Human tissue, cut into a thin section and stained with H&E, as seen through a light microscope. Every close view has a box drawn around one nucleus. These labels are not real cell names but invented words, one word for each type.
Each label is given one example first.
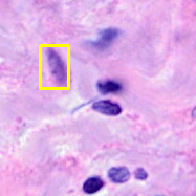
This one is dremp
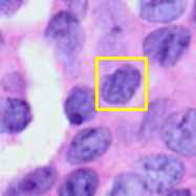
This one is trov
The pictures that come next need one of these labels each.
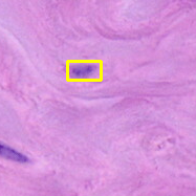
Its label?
dremp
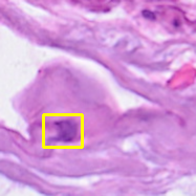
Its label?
dremp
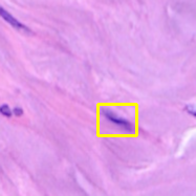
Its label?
dremp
